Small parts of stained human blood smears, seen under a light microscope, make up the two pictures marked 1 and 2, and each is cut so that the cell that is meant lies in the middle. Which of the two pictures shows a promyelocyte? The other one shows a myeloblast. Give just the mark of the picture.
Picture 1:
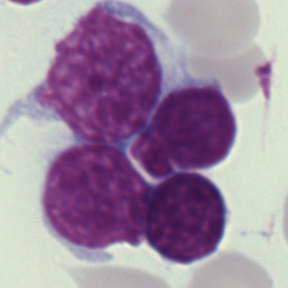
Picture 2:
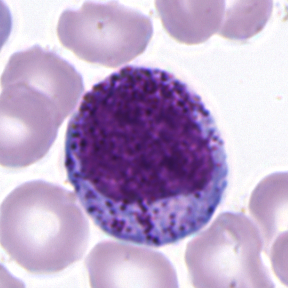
2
